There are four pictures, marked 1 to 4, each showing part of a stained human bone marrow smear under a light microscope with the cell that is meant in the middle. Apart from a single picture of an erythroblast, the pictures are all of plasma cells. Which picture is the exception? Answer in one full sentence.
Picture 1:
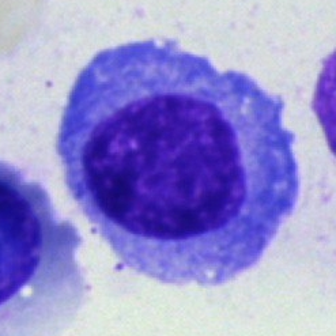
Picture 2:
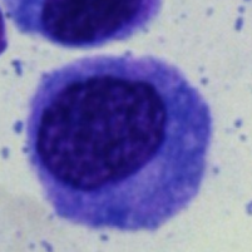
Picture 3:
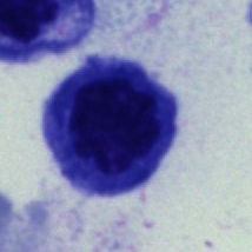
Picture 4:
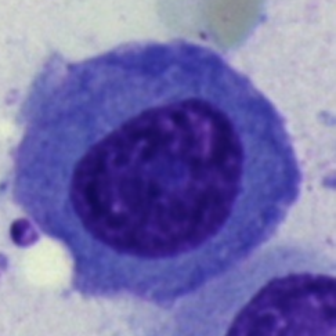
The picture with the erythroblast is 3.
